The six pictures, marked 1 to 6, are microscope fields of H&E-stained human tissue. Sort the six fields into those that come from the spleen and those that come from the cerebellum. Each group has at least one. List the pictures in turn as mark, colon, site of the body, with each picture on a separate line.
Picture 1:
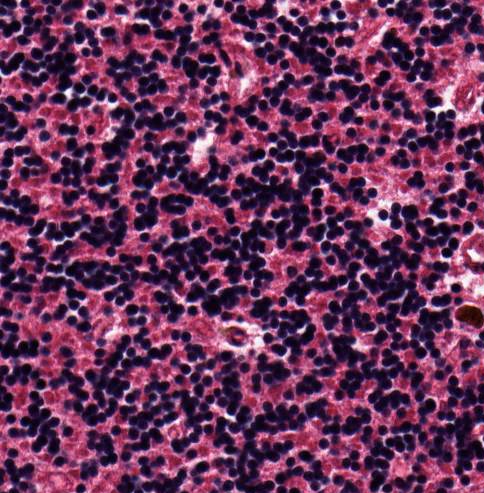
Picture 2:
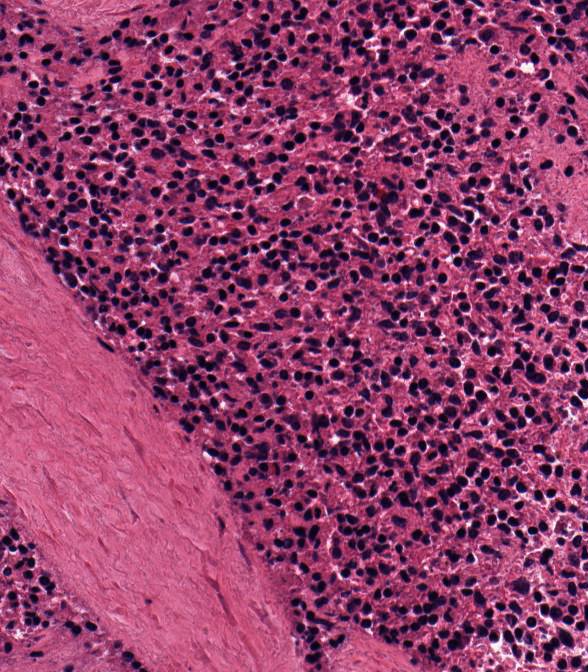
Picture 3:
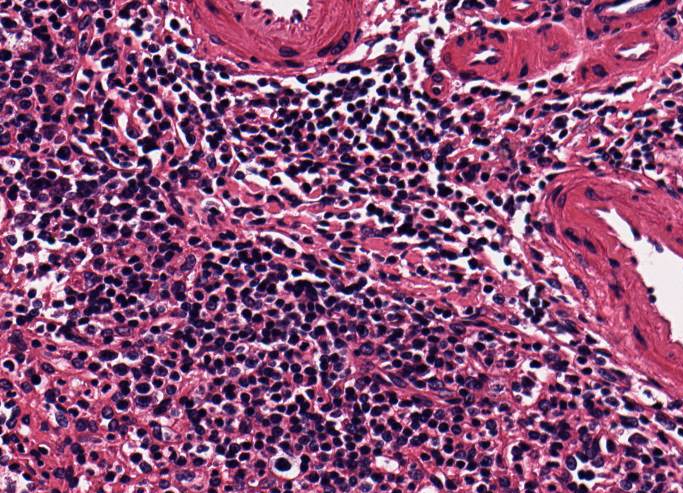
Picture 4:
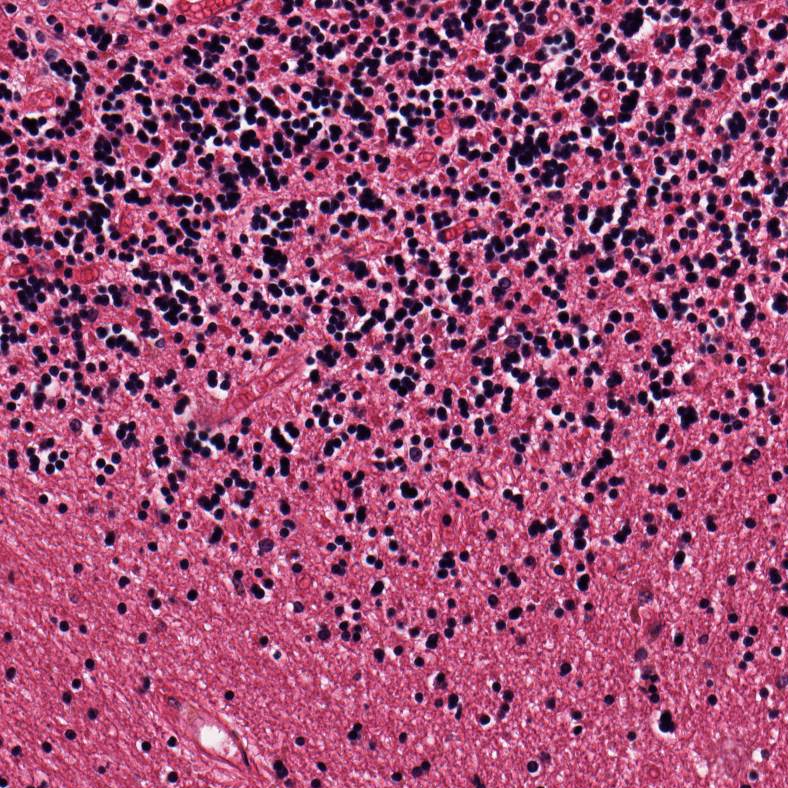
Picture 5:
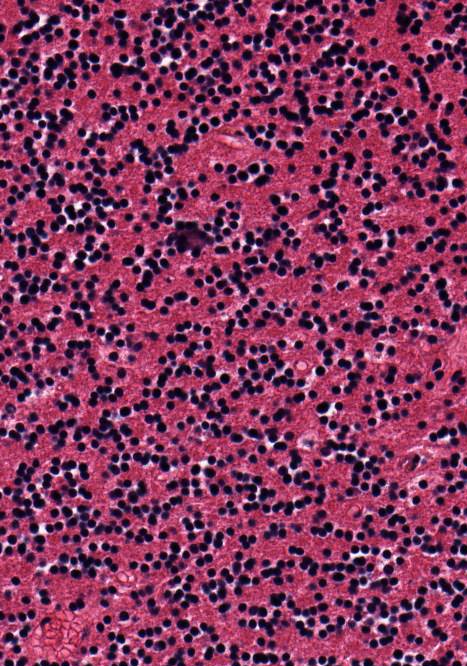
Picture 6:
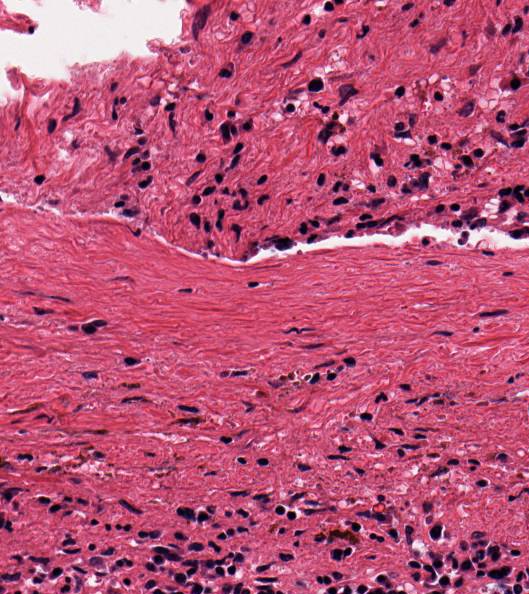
1: cerebellum
2: spleen
3: spleen
4: cerebellum
5: cerebellum
6: spleen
